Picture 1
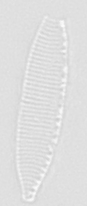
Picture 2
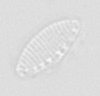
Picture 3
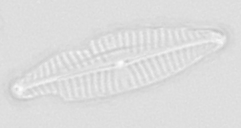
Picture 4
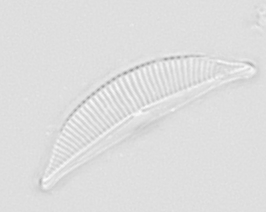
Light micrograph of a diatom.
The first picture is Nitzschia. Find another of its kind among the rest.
Picture 2.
